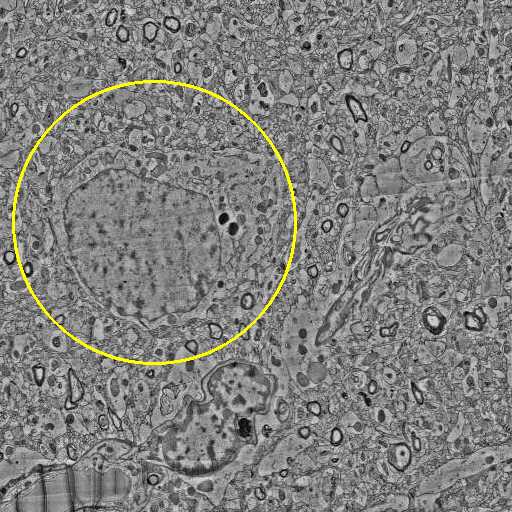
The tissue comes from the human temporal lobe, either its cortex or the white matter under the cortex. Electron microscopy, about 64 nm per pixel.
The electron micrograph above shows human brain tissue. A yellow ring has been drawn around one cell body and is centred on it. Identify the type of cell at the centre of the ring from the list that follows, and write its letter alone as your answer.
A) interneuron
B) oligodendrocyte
A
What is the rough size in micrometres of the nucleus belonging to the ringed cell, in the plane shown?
The ringed cell's nucleus is about 11 micrometres long and 9 micrometres wide in this plane.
